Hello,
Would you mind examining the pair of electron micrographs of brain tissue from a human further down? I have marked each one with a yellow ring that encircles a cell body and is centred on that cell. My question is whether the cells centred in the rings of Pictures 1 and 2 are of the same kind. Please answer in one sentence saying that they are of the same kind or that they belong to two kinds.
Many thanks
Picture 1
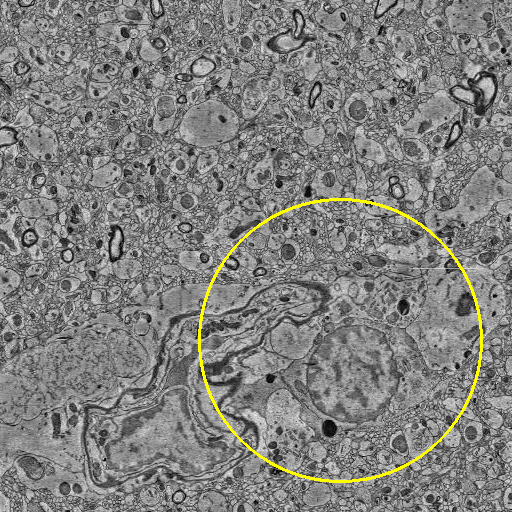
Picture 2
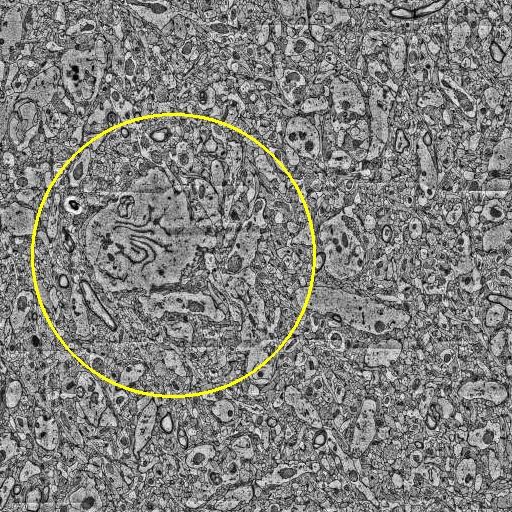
In Pictures 1 and 2, the cells at the heart of the rings belong to two kinds.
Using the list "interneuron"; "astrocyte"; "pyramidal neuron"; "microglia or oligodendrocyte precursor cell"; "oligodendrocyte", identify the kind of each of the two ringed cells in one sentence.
The first is an oligodendrocyte and the second is an astrocyte.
